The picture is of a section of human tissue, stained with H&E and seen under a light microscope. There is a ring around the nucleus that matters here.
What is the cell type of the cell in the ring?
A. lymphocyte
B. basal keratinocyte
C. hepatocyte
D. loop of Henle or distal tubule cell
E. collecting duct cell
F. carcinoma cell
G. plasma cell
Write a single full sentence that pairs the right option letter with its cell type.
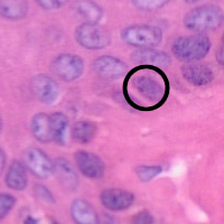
The correct option is B, and the cell in the ring is a basal keratinocyte.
